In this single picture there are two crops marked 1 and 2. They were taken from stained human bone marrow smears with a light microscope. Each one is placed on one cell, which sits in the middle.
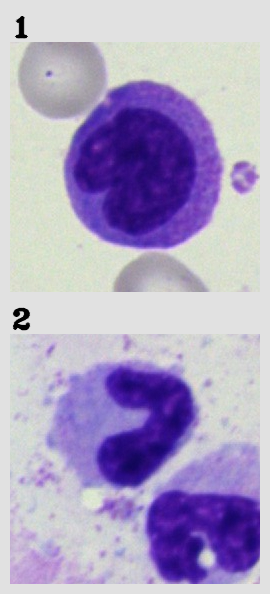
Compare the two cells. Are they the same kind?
no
